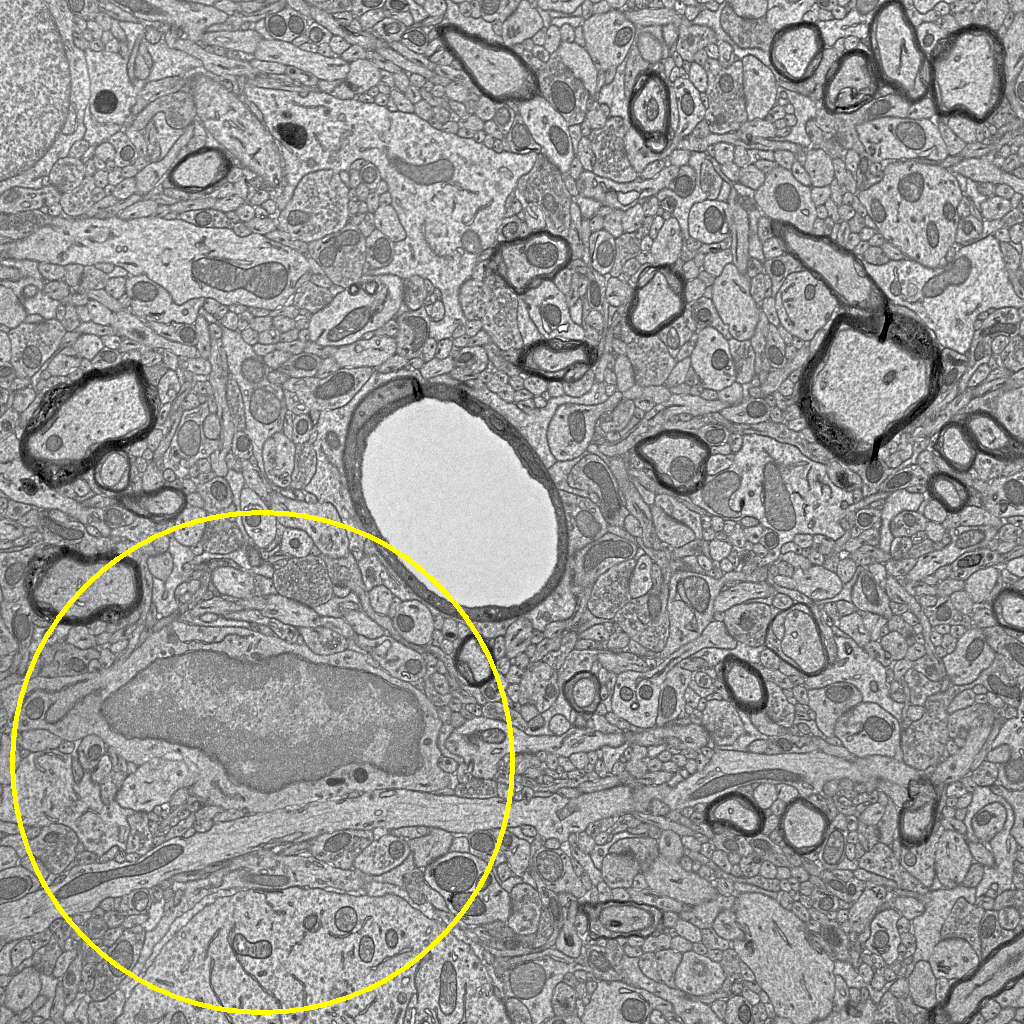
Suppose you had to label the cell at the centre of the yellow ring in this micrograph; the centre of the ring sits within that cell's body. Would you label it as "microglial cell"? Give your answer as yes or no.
Yes, I would label it that way.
